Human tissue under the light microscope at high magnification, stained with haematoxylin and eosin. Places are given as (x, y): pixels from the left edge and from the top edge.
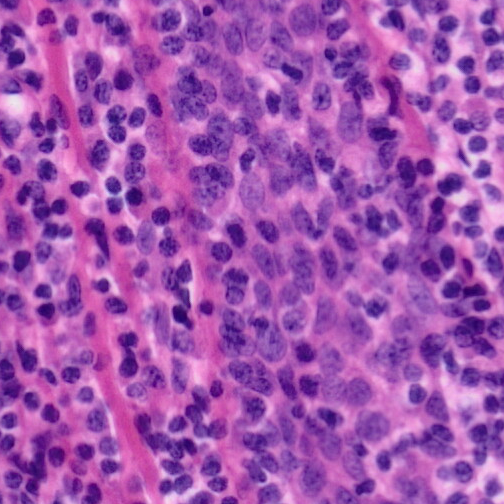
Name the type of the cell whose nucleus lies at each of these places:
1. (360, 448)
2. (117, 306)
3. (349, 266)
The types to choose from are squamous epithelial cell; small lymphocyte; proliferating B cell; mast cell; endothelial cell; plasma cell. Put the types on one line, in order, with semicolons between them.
squamous epithelial cell; plasma cell; squamous epithelial cell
